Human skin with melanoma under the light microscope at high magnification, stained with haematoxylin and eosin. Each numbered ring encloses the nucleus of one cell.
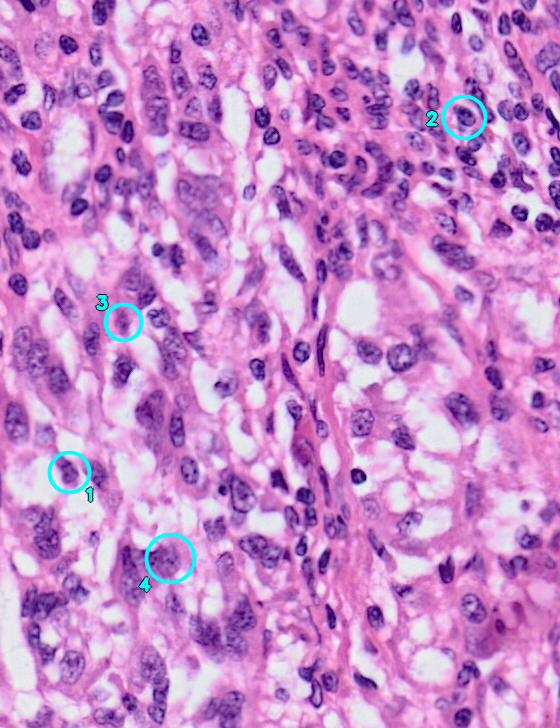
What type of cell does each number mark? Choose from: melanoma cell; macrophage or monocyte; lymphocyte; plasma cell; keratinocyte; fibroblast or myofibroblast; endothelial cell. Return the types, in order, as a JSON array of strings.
["melanoma cell", "lymphocyte", "melanoma cell", "melanoma cell"]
